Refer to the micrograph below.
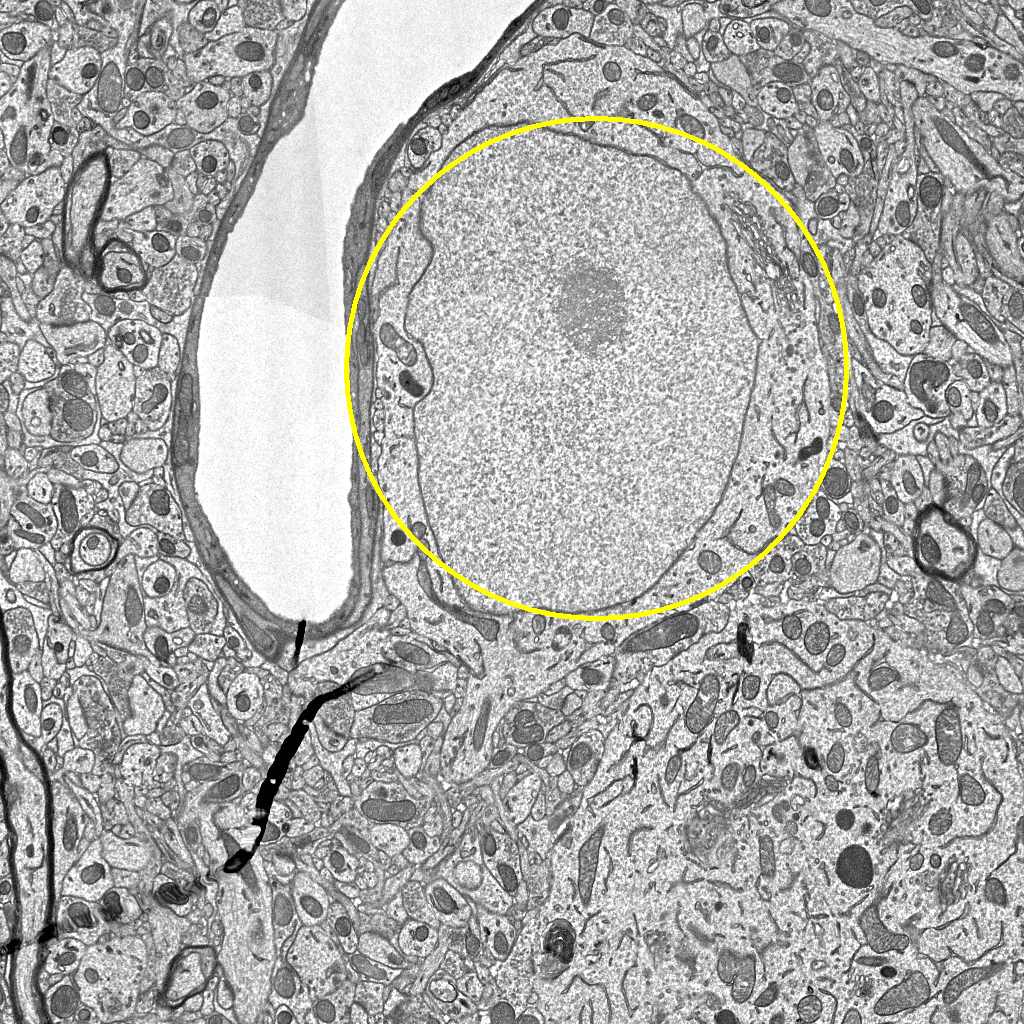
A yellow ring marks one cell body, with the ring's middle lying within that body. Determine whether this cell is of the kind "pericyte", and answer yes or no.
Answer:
no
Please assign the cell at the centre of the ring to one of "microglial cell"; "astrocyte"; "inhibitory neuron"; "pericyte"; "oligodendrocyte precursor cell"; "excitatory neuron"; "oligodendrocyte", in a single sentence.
The cell at the ring centre is an excitatory neuron.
